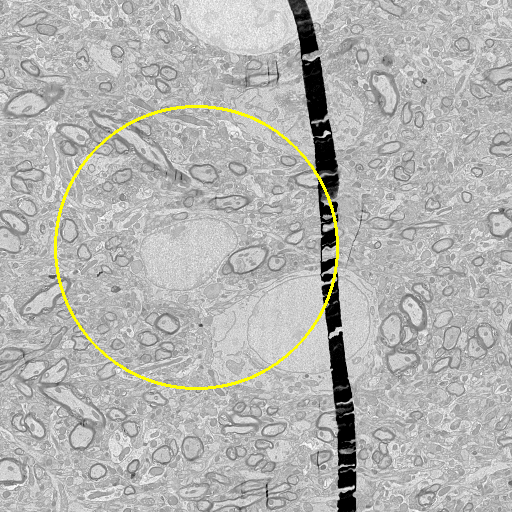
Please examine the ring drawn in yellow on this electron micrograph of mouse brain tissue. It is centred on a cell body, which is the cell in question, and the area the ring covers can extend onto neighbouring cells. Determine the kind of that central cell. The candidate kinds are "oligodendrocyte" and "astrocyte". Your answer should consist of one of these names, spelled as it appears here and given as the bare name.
astrocyte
